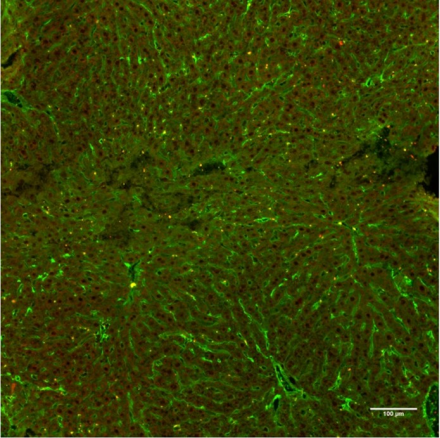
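Liver parenchyma with plates of hepatocytes whose nuclei show as small reddish dots. Thin green lines run between the plates and converge in a radiating pattern toward small dark vessel openings.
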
